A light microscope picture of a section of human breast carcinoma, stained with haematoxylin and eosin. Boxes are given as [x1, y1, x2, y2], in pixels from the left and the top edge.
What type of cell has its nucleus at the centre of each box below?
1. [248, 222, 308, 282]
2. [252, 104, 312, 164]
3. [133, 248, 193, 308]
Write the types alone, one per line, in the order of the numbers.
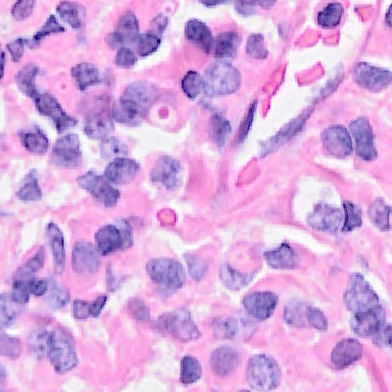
carcinoma cell
endothelial cell
carcinoma cell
